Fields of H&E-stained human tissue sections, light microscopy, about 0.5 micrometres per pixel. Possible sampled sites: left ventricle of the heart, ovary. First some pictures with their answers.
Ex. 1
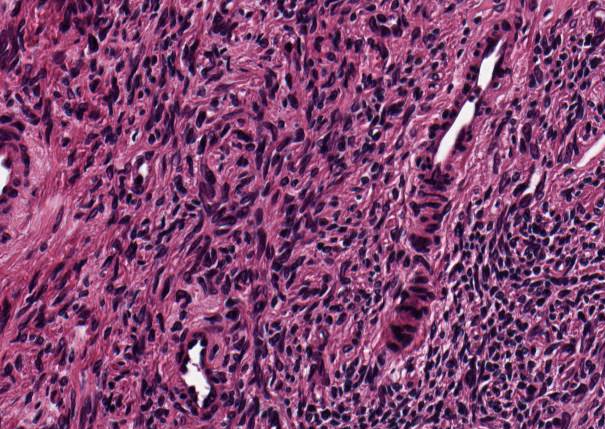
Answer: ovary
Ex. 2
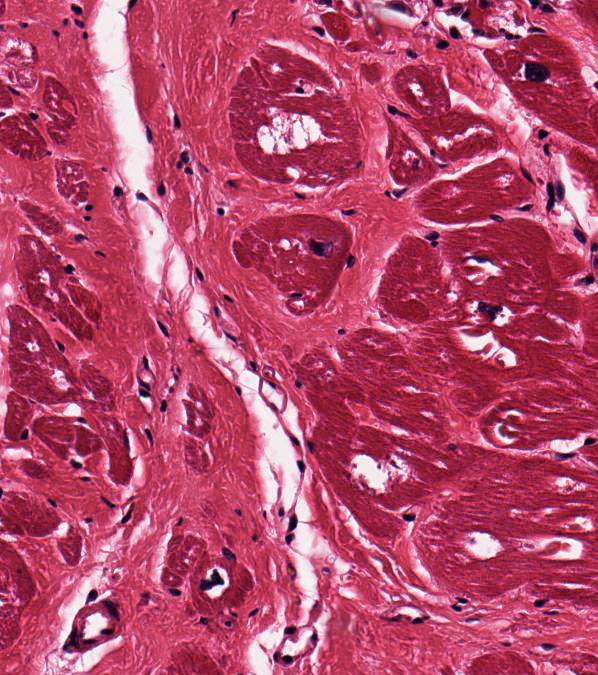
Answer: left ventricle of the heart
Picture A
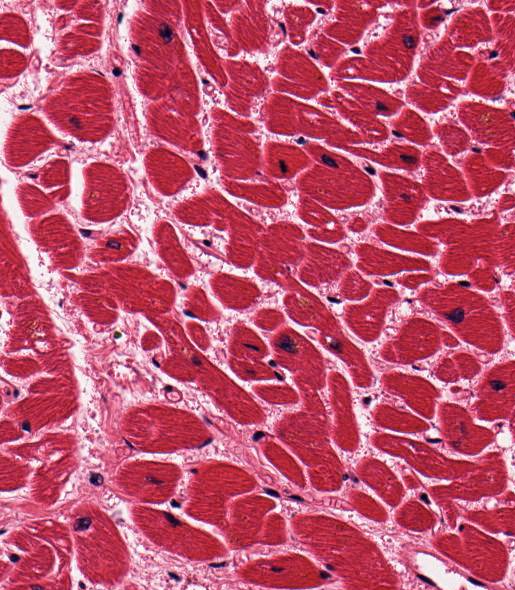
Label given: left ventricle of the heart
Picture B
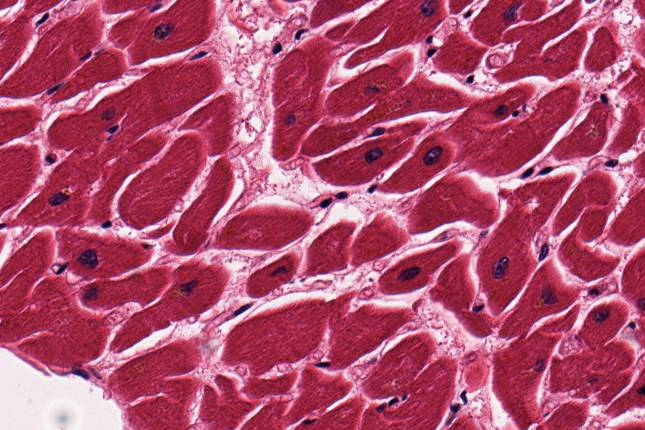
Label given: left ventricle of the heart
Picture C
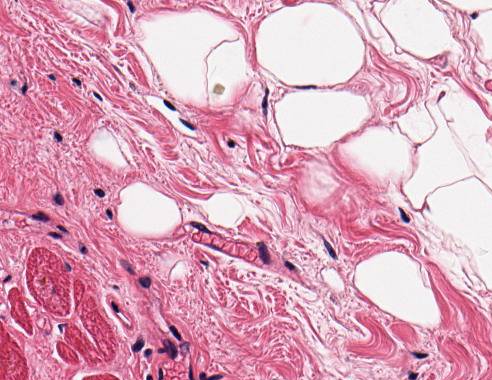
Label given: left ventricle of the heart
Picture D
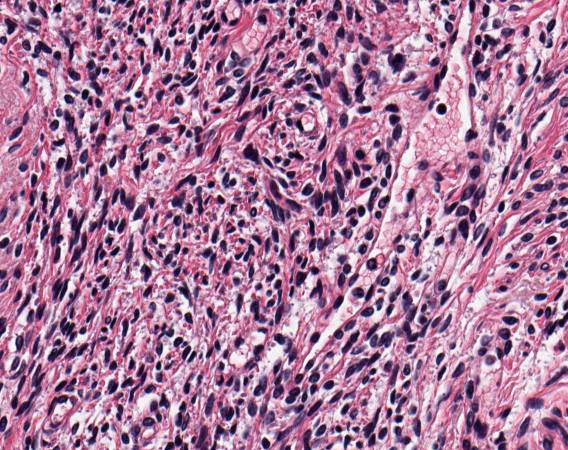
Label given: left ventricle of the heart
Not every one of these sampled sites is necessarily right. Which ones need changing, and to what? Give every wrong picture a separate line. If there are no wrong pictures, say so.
Wrong: D (left ventricle of the heart); correct: ovary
